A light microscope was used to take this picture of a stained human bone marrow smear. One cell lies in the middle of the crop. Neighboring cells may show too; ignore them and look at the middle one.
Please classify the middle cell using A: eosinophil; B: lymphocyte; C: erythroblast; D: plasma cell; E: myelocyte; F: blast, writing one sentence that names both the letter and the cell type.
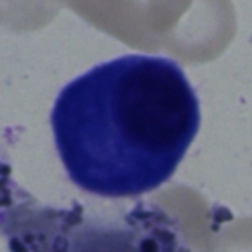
The centrally positioned cell is a plasma cell, consistent with option D, which is correct.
